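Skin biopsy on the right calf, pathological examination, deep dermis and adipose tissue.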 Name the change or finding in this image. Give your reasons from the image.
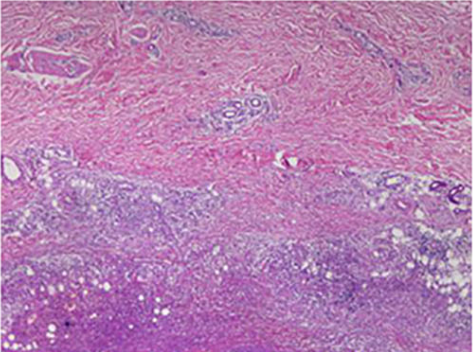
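Dense bands of small, dark purple nuclei crowd the lower part of the section. These cellular bands lie next to paler pink, fibrous areas with few nuclei. The answer: Lymphocyte infiltration.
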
